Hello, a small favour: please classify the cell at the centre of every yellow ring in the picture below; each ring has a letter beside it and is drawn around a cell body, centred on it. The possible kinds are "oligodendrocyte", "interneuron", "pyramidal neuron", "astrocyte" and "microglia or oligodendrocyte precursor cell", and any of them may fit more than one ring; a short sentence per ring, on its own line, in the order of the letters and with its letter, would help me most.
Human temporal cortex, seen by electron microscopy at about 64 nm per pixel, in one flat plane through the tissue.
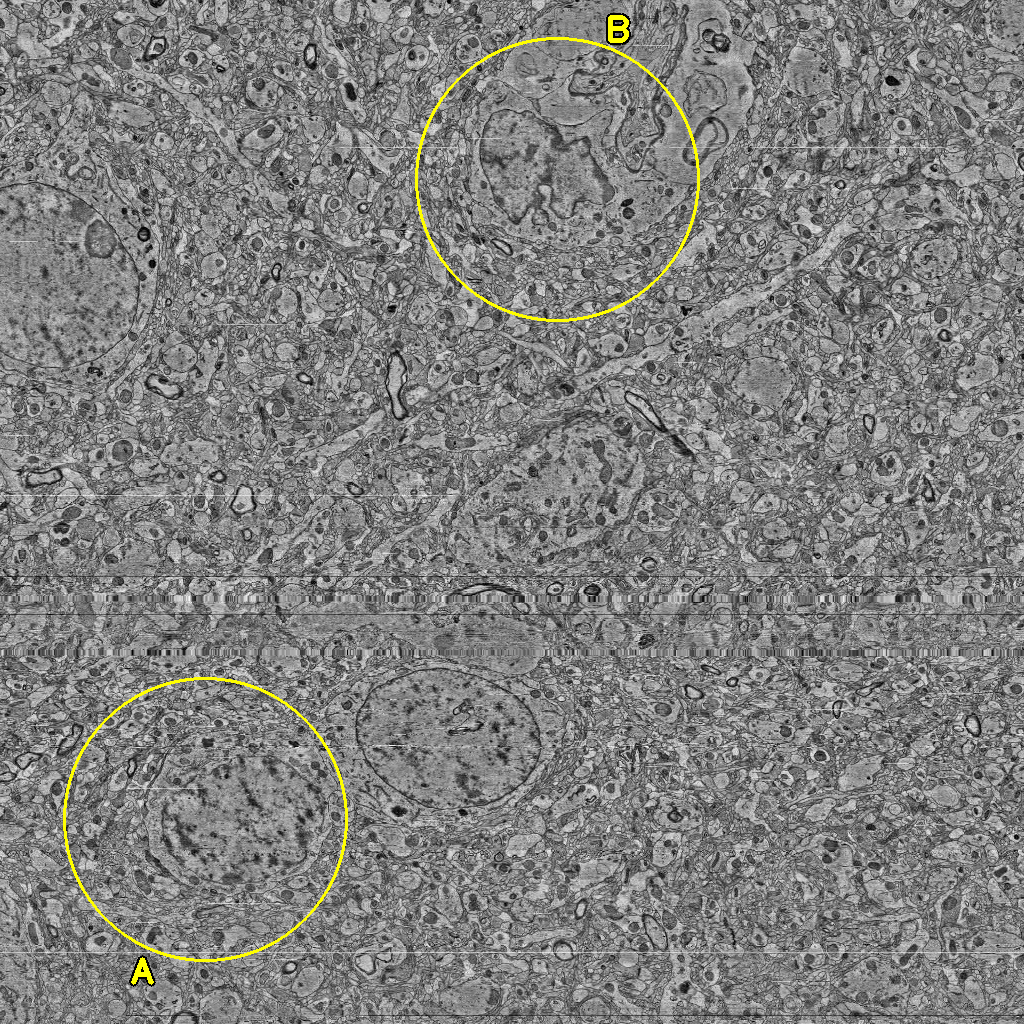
The centre of ring A falls on an interneuron.
The centre of ring B falls on a microglial cell or oligodendrocyte precursor cell.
